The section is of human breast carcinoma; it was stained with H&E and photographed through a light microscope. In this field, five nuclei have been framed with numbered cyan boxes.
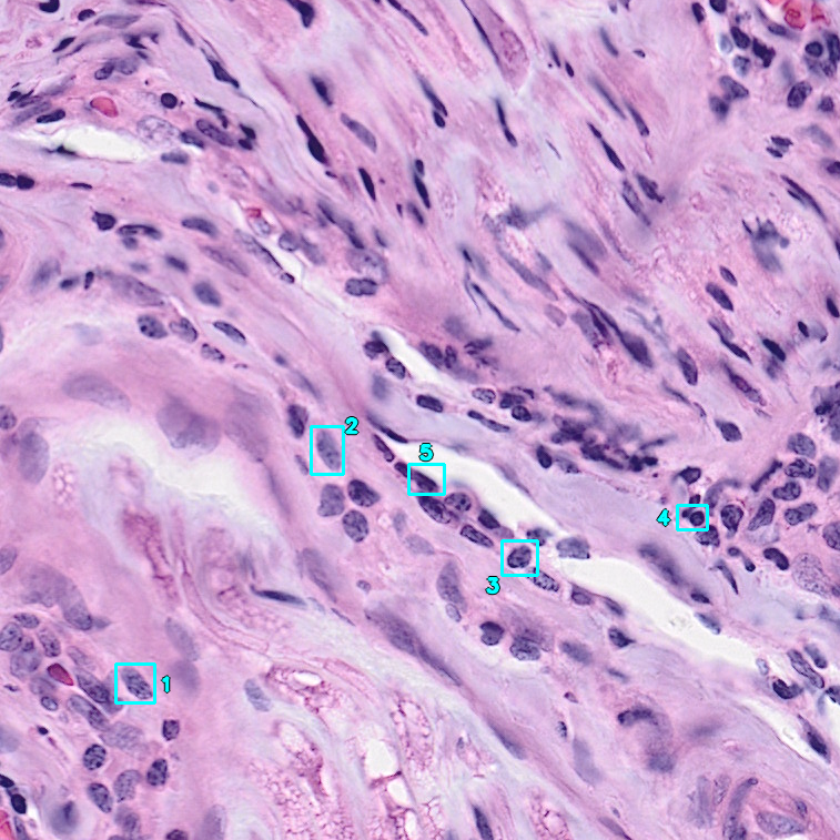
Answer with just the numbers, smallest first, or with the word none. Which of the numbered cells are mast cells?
1, 2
